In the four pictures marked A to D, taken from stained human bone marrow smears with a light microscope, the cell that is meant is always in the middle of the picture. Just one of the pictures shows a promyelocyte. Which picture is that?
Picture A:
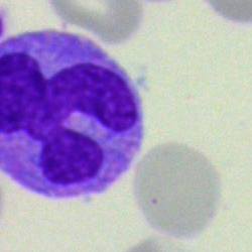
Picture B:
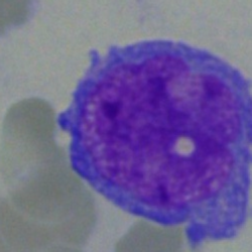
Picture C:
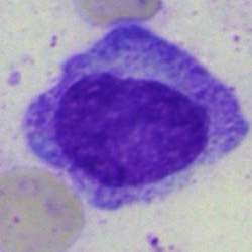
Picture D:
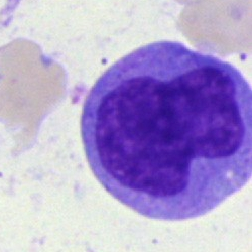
C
